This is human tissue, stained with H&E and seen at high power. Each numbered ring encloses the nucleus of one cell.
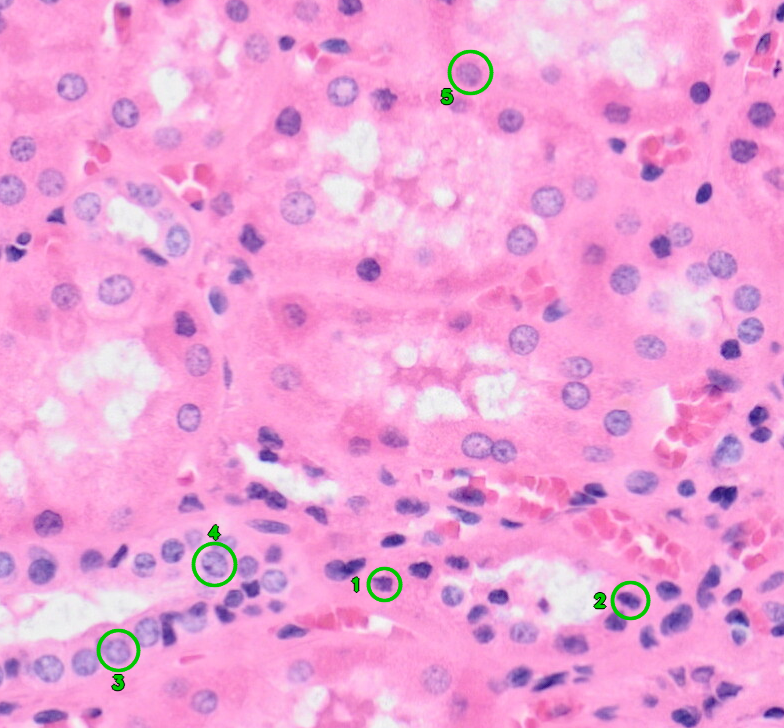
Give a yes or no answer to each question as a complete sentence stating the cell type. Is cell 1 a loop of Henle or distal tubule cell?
Yes, the cell distinguished by number 1 is a loop of Henle or distal tubule cell.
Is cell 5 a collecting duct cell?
No, not a collecting duct cell: the cell with number 5 is a proximal tubule cell.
